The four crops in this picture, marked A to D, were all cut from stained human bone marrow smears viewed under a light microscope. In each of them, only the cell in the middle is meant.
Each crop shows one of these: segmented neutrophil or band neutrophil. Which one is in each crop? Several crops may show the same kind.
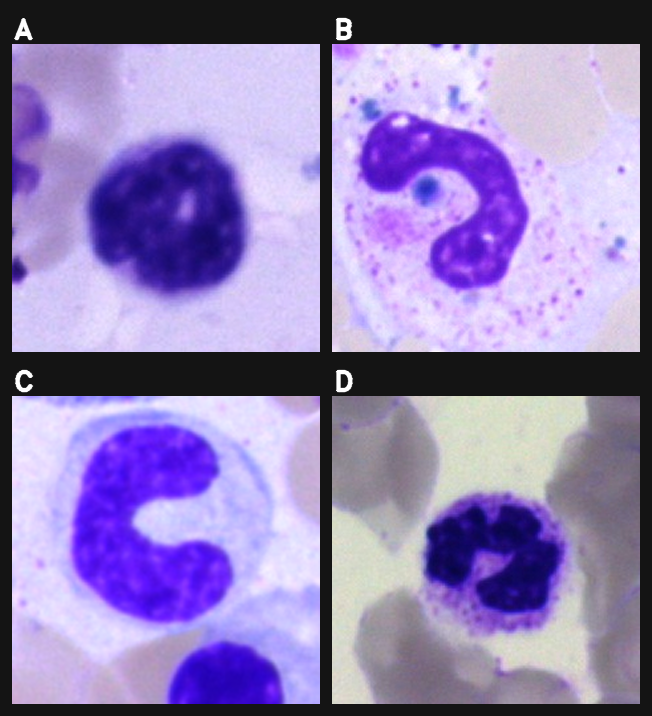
A: segmented neutrophil
B: band neutrophil
C: band neutrophil
D: segmented neutrophil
